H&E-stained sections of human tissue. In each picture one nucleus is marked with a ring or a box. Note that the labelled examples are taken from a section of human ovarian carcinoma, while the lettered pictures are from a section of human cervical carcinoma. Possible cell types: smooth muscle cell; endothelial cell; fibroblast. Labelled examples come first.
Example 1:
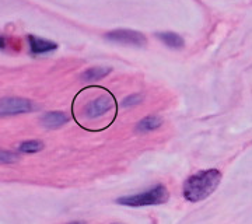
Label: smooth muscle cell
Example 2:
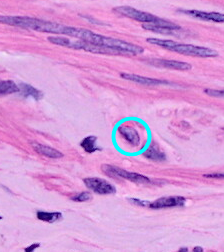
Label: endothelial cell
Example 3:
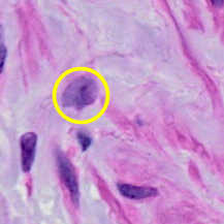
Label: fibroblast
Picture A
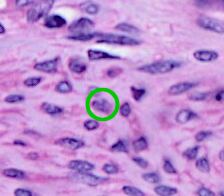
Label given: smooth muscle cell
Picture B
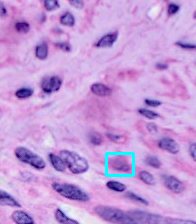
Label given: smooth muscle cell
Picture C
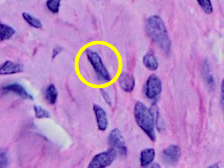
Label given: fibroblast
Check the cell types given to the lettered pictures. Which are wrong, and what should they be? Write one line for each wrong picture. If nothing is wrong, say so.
All labels are correct.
